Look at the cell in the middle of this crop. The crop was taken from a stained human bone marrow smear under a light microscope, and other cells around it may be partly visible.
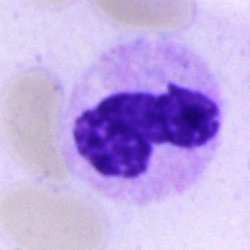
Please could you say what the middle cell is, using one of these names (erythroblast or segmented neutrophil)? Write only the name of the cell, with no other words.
segmented neutrophil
